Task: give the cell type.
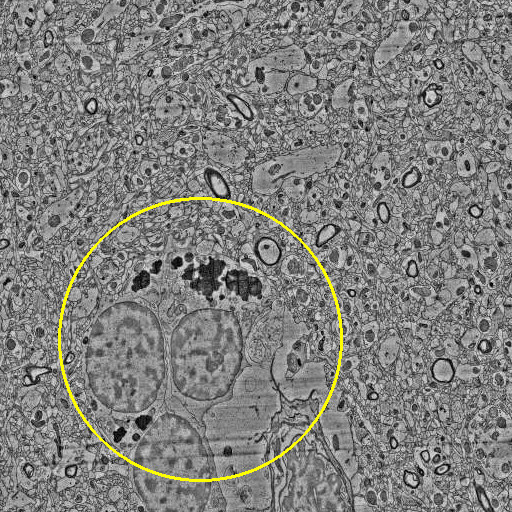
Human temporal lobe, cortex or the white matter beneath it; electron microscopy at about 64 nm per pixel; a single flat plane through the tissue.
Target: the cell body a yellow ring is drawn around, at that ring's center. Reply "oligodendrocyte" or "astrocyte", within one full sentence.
In this picture, the cell whose body lies at the ring's center is an oligodendrocyte.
